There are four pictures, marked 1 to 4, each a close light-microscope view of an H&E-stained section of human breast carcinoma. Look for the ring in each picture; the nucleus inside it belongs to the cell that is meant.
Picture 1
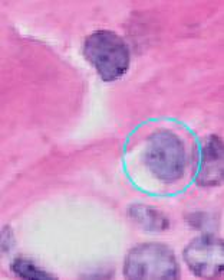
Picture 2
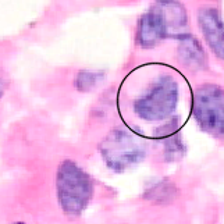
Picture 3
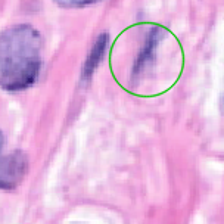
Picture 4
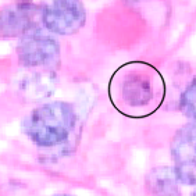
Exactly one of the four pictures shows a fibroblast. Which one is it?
3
